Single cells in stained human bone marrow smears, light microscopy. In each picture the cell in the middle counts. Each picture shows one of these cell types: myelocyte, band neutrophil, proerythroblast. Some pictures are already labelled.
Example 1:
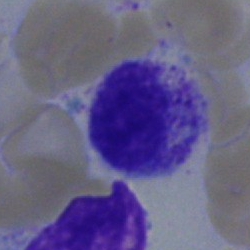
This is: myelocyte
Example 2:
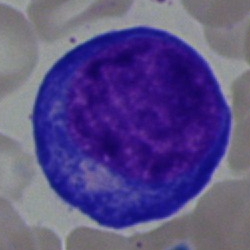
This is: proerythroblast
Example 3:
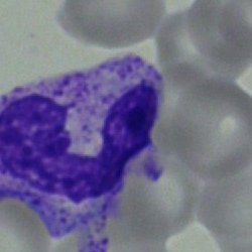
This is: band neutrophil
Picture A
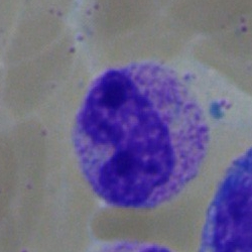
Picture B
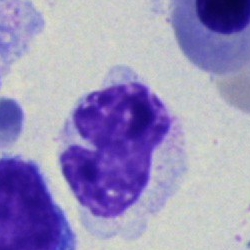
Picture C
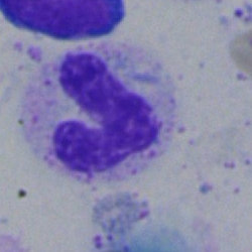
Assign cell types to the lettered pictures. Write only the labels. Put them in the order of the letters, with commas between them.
band neutrophil, band neutrophil, band neutrophil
